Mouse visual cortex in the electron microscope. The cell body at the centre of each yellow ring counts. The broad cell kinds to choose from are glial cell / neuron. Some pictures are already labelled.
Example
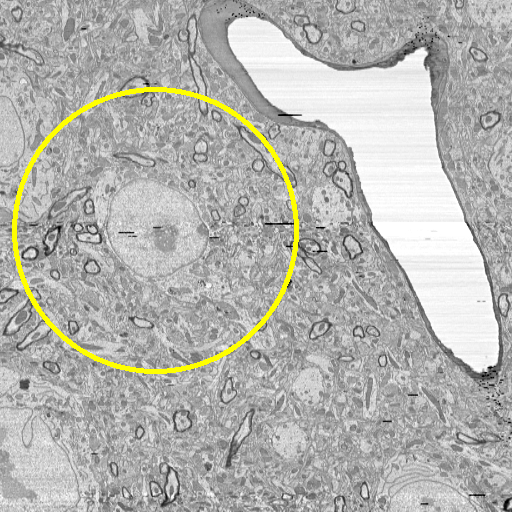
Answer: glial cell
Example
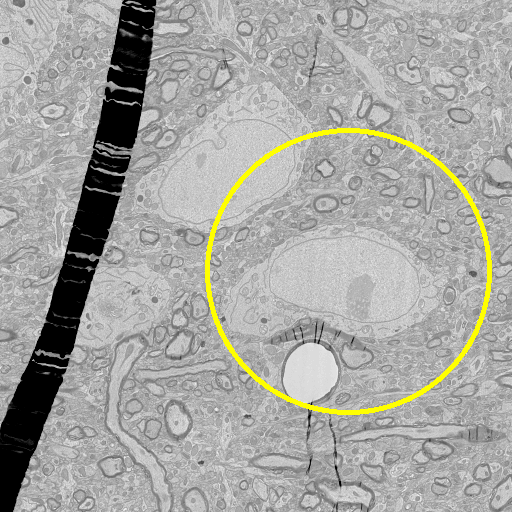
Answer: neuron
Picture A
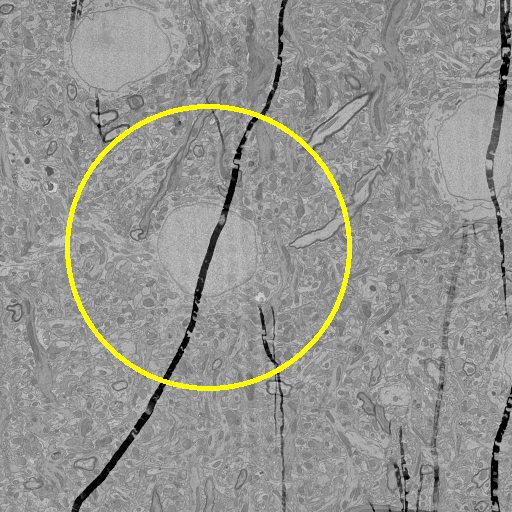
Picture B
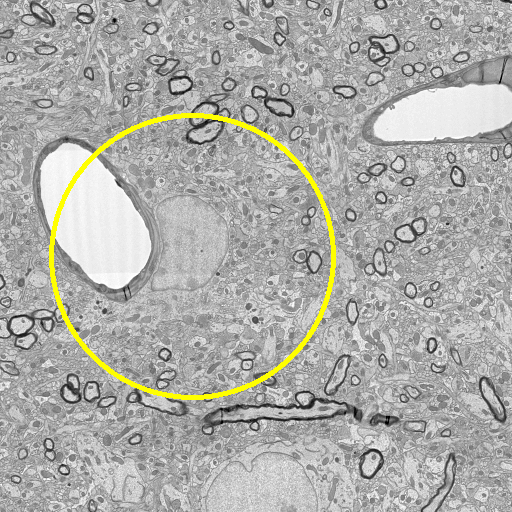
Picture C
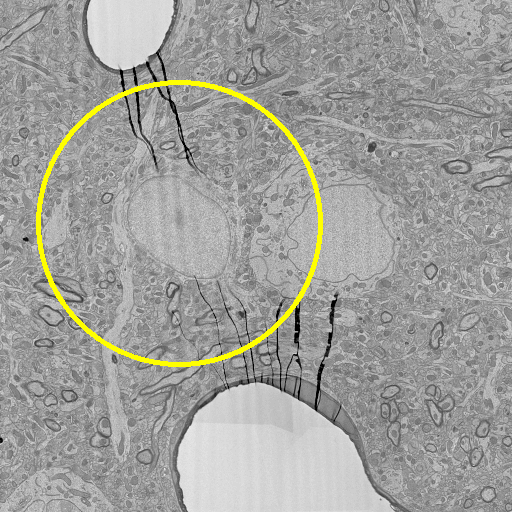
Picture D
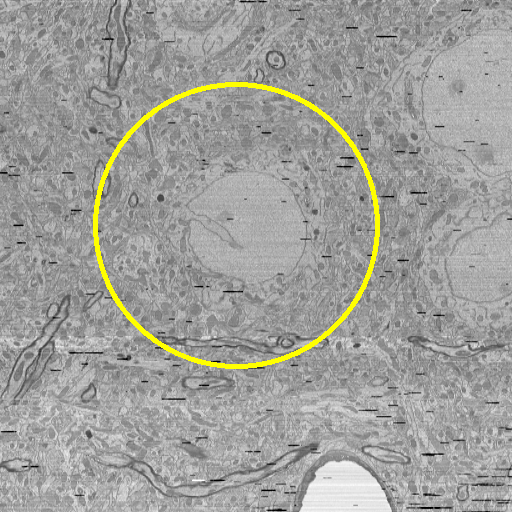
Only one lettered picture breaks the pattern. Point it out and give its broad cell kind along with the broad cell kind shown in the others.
D differs and shows neuron; the others show glial cell.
